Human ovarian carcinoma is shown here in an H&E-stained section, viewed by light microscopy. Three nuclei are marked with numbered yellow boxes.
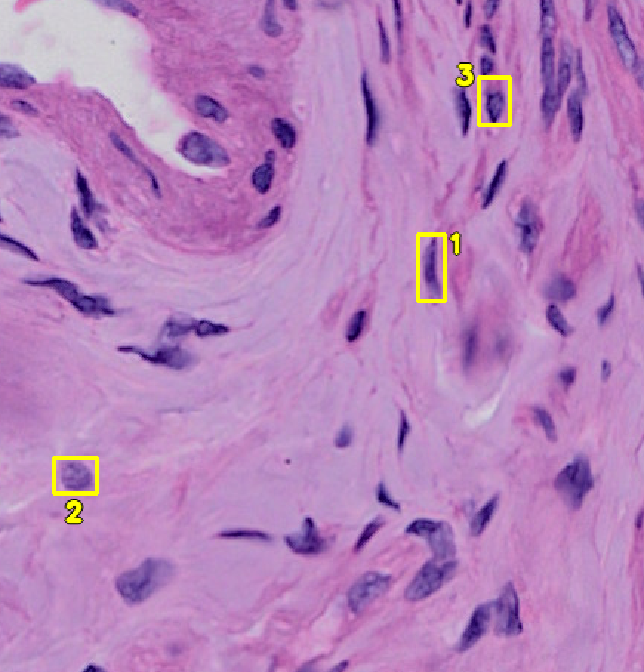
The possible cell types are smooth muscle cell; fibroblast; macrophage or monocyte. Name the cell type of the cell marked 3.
smooth muscle cell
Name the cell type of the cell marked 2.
fibroblast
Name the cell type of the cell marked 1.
smooth muscle cell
